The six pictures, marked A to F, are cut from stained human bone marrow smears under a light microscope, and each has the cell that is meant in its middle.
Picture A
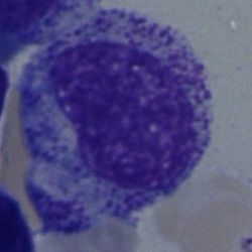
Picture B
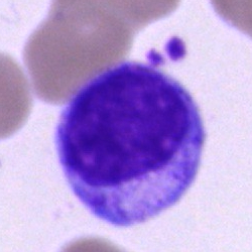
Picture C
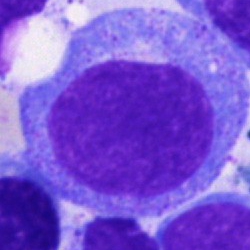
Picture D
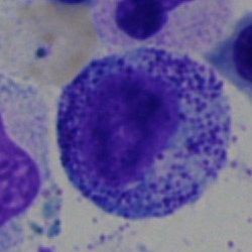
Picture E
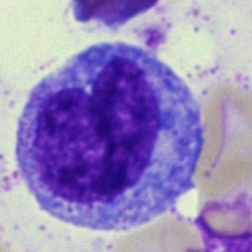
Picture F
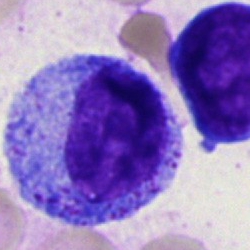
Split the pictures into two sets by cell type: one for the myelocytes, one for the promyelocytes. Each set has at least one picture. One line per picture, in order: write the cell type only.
myelocyte
myelocyte
promyelocyte
promyelocyte
promyelocyte
promyelocyte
